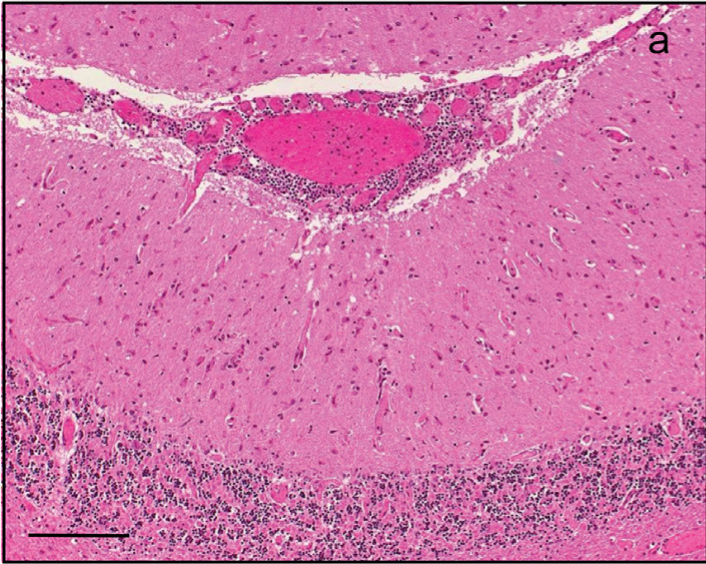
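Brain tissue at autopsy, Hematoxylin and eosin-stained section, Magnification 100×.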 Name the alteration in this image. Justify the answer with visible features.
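Lymphocytic meningitis. A band of densely packed small dark nuclei lies in the membrane layer covering the brain surface. The dense cells cluster around a large blood vessel in that surface layer. The underlying pale pink parenchyma has far fewer nuclei than the surface layer.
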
